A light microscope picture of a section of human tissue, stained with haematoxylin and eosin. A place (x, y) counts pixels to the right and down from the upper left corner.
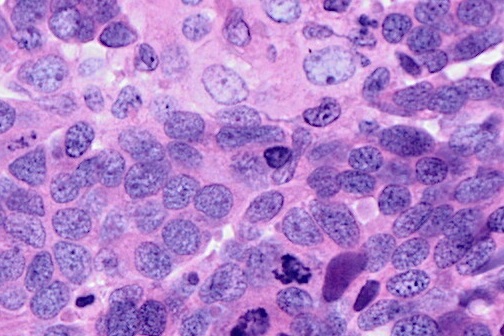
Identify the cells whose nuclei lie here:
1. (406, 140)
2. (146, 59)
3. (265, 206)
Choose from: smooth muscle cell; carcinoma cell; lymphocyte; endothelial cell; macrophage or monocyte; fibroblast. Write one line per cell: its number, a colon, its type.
1: carcinoma cell
2: macrophage or monocyte
3: carcinoma cell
